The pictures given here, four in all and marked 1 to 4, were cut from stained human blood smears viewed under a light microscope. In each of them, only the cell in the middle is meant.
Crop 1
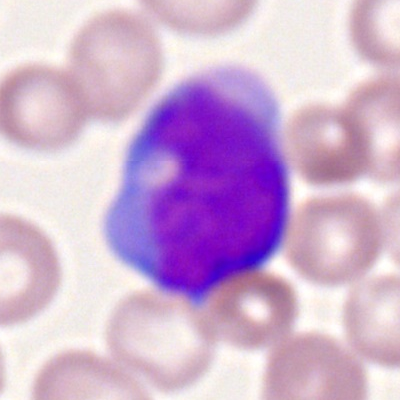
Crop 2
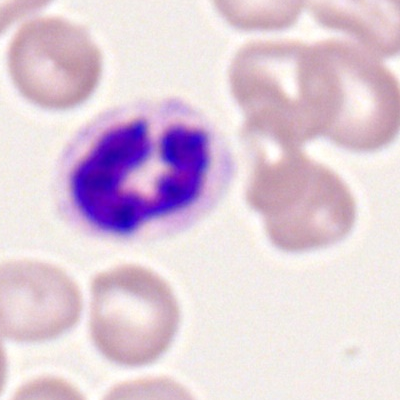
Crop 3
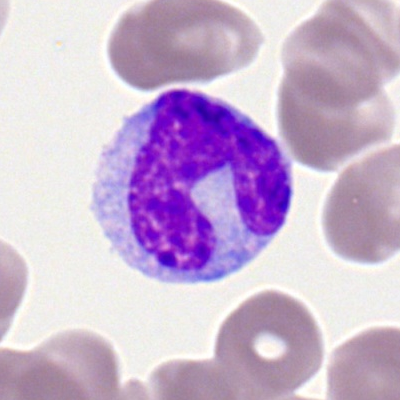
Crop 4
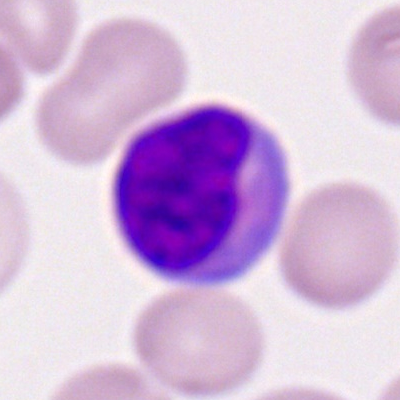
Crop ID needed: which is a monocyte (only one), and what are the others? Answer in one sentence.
Crop 3 shows a monocyte, while in contrast crop 1 is a blast, crop 2 is a neutrophil and crop 4 is a lymphocyte.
